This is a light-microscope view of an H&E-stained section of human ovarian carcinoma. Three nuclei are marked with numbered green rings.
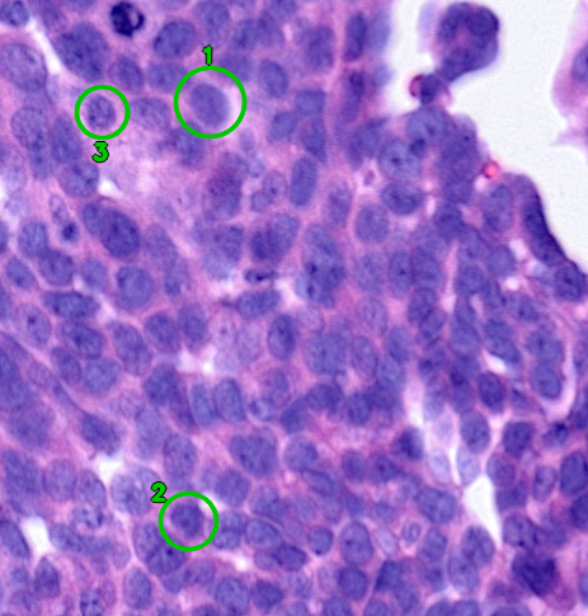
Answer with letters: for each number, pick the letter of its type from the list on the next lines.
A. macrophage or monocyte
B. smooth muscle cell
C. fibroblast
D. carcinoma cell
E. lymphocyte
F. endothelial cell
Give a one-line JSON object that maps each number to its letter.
{"1": "D", "2": "D", "3": "A"}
